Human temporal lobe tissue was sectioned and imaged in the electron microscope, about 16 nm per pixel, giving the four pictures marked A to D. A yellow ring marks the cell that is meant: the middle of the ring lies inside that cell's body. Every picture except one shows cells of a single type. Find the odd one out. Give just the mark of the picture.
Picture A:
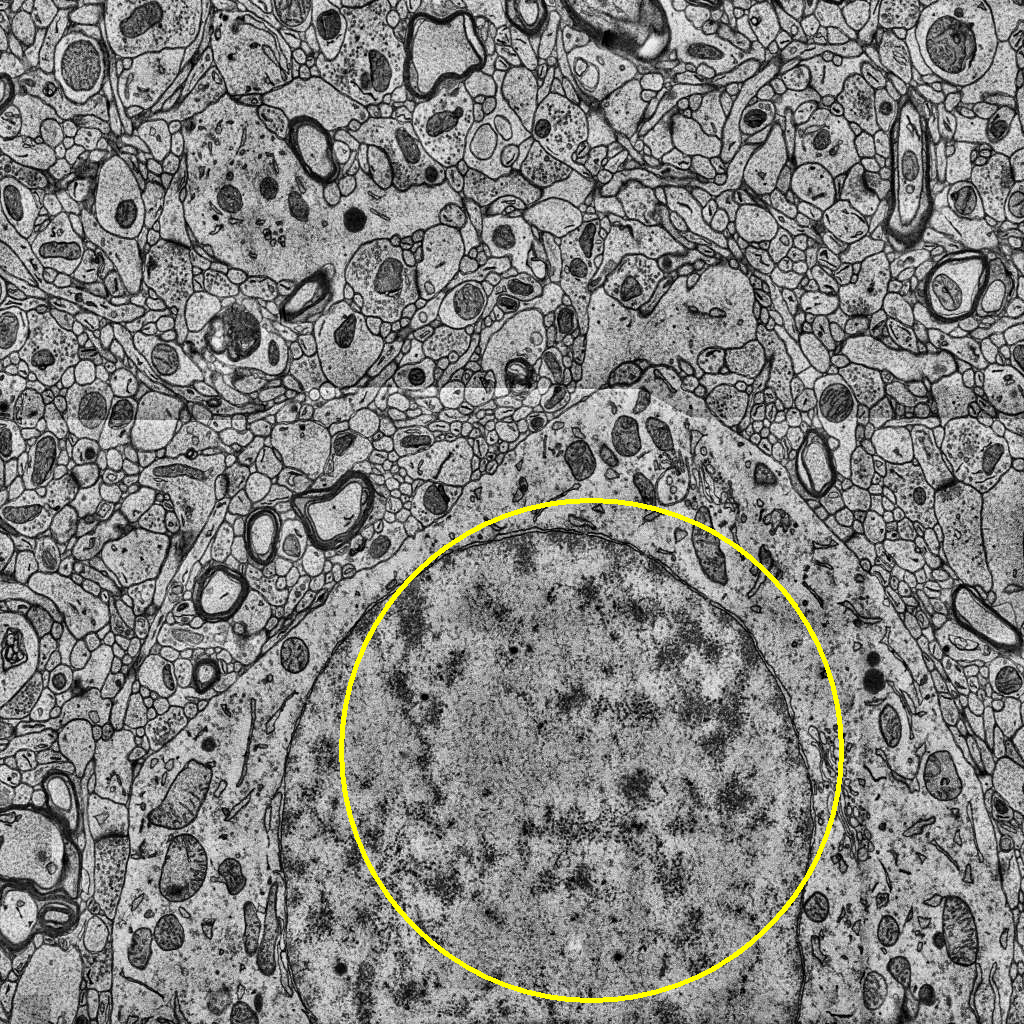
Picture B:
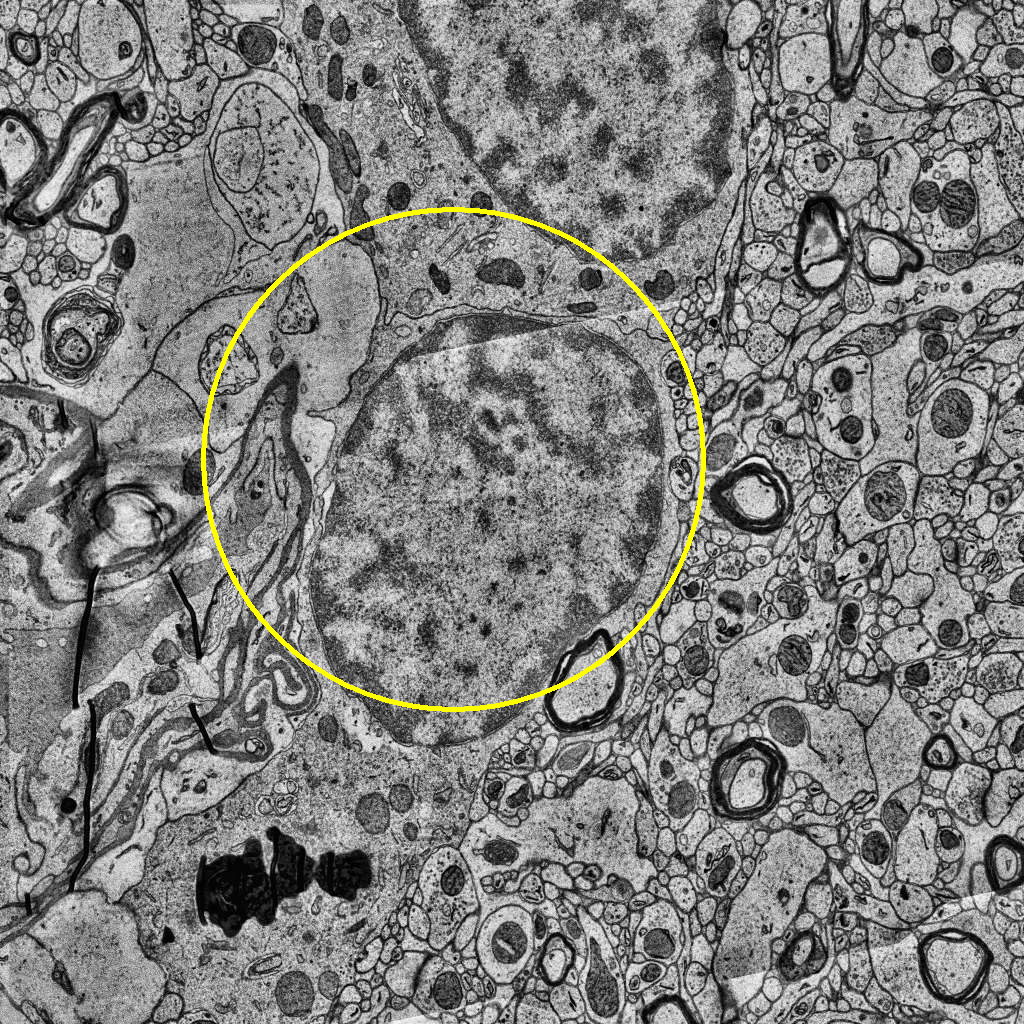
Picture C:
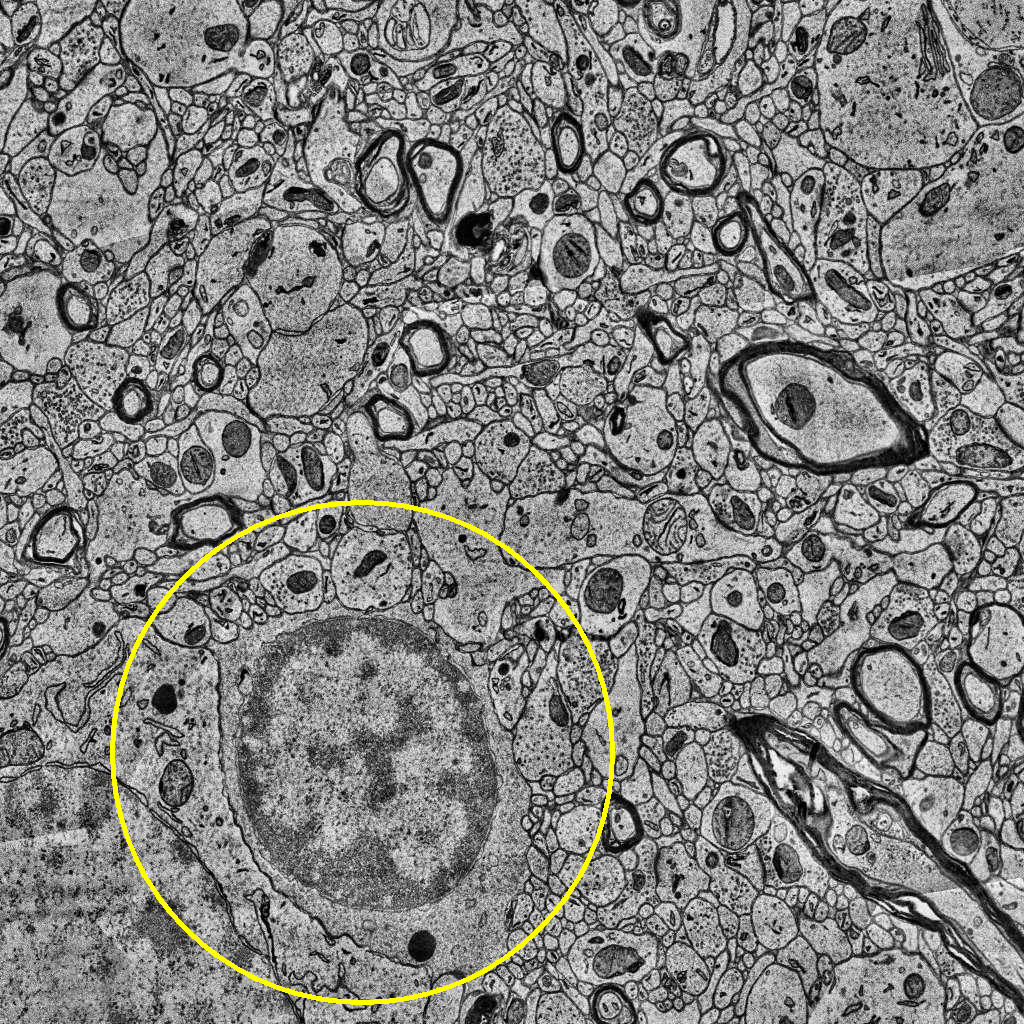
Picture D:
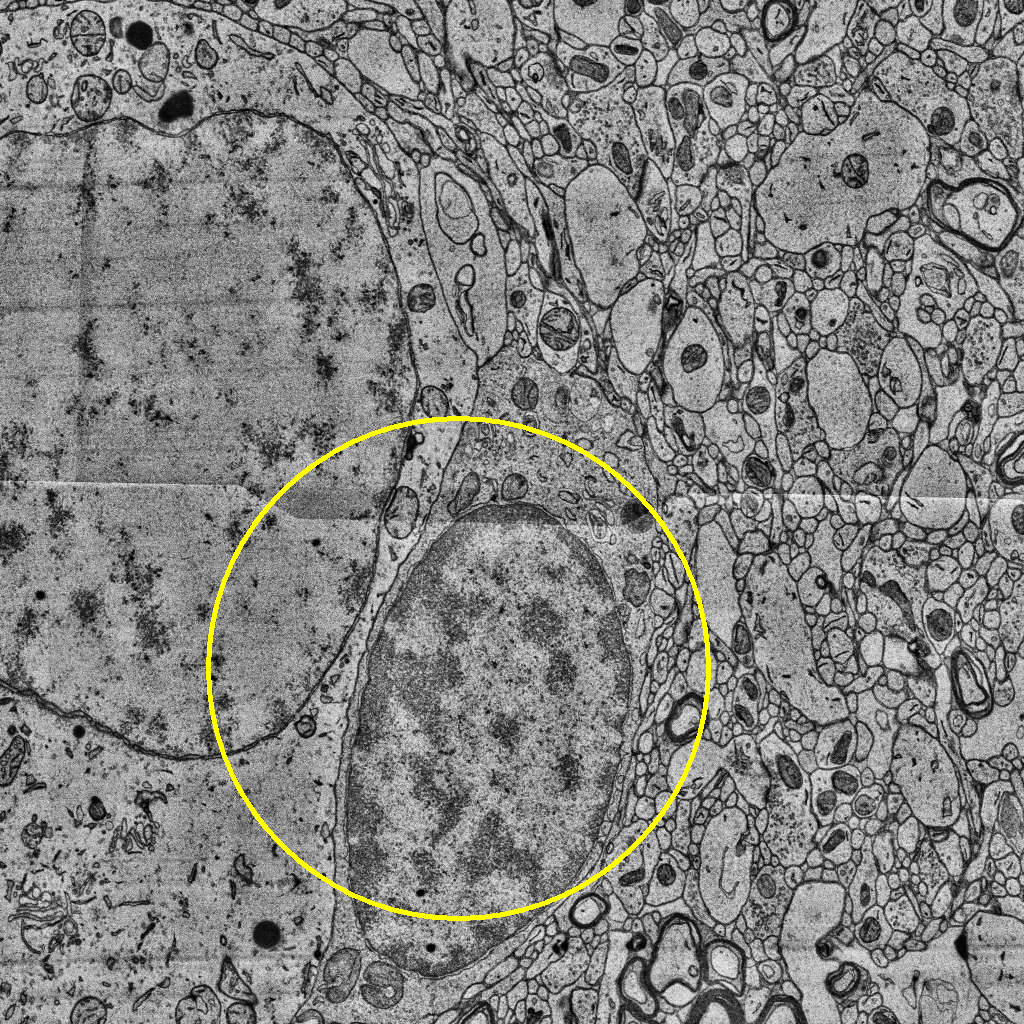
A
